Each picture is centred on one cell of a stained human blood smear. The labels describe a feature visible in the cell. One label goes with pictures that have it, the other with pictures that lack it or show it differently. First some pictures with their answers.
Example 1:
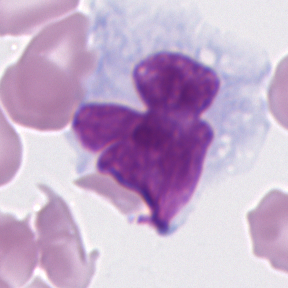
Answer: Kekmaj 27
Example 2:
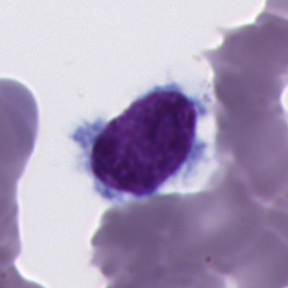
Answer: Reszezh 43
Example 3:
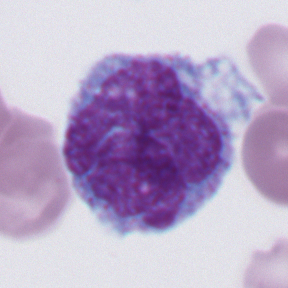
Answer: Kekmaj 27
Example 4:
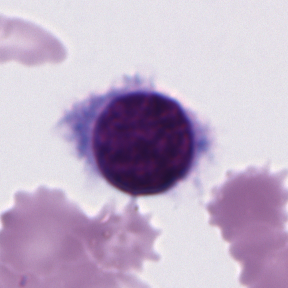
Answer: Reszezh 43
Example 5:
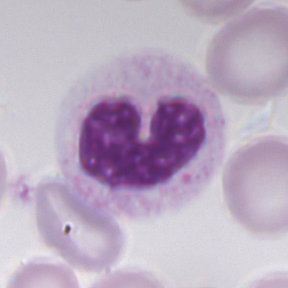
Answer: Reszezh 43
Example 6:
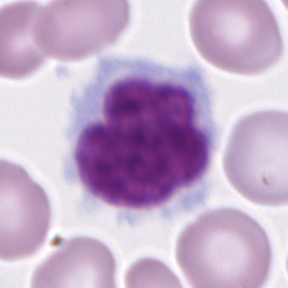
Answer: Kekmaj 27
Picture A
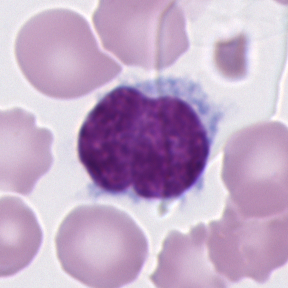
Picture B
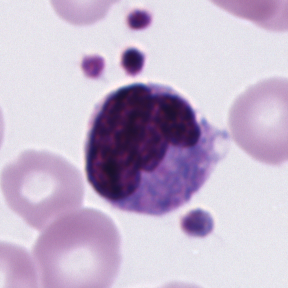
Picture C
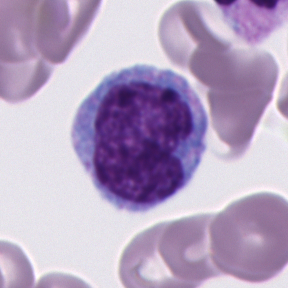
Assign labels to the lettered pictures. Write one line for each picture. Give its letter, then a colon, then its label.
A: Kekmaj 27
B: Reszezh 43
C: Reszezh 43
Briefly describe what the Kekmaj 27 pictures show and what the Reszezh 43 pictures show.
In Kekmaj 27: lobed nucleus. In Reszezh 43: single compact nucleus.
